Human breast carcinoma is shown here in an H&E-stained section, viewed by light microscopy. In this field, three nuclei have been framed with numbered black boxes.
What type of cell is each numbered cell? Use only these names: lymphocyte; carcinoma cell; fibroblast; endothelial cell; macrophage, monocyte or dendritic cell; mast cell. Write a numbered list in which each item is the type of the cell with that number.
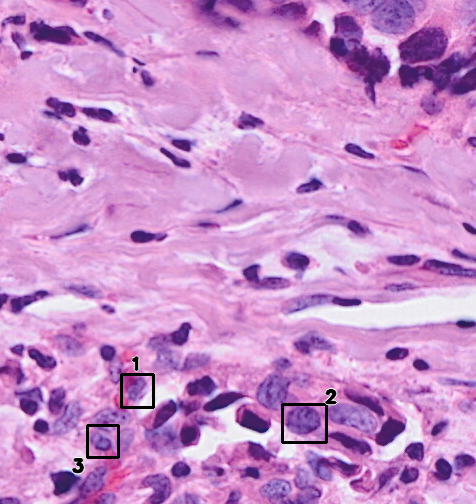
1. endothelial cell
2. carcinoma cell
3. endothelial cell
